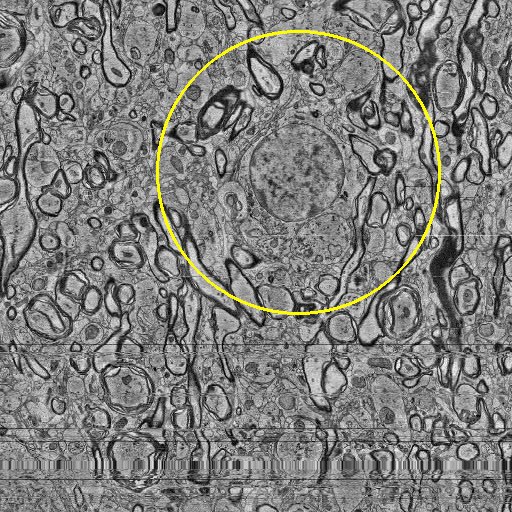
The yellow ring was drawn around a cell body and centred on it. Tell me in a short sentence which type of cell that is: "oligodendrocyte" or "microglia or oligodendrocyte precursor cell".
The cell at the ring's centre is a microglial cell or oligodendrocyte precursor cell.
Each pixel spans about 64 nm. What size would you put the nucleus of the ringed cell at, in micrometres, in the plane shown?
In this plane, approximately 6 micrometres across.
